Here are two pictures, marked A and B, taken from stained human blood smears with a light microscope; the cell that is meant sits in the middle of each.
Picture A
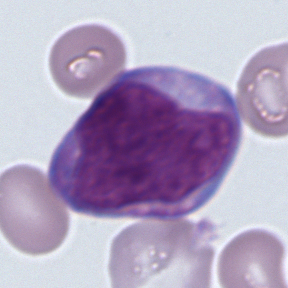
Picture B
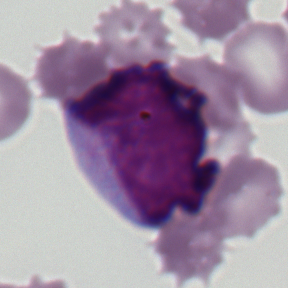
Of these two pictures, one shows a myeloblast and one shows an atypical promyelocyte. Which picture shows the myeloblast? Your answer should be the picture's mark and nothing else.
B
